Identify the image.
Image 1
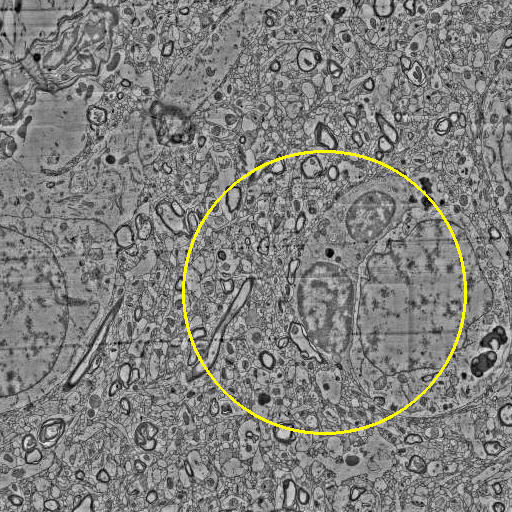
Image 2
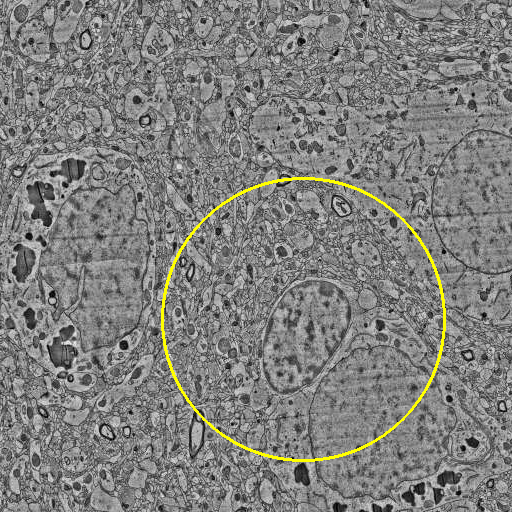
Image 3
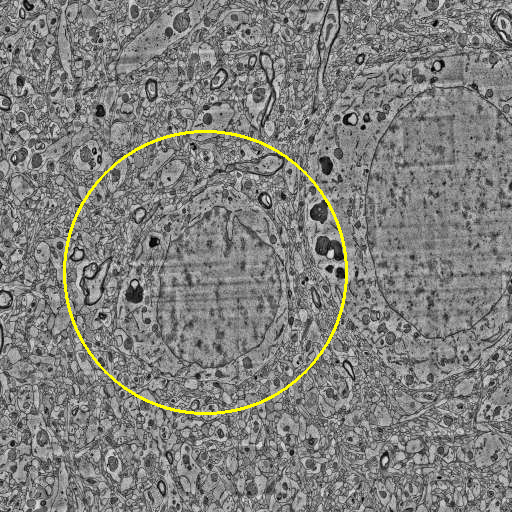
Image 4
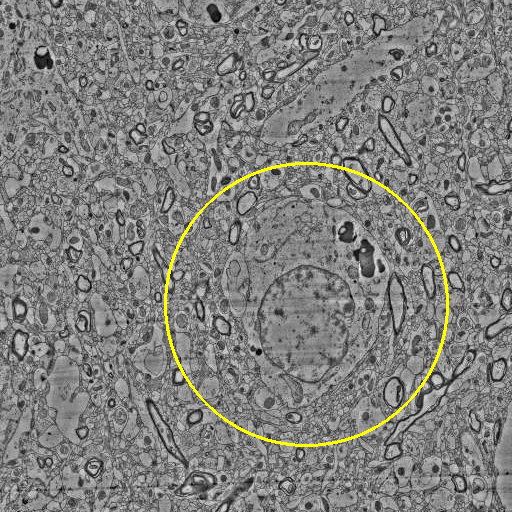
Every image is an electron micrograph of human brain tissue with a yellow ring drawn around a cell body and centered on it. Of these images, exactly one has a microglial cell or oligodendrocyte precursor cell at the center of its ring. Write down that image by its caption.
Image 2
